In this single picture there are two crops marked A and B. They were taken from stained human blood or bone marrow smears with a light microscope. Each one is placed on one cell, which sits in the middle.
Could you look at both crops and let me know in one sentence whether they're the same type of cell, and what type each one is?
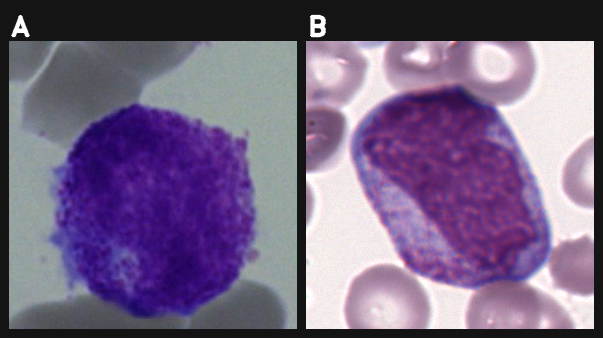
Yes, both crops show promyelocytes at their middles.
